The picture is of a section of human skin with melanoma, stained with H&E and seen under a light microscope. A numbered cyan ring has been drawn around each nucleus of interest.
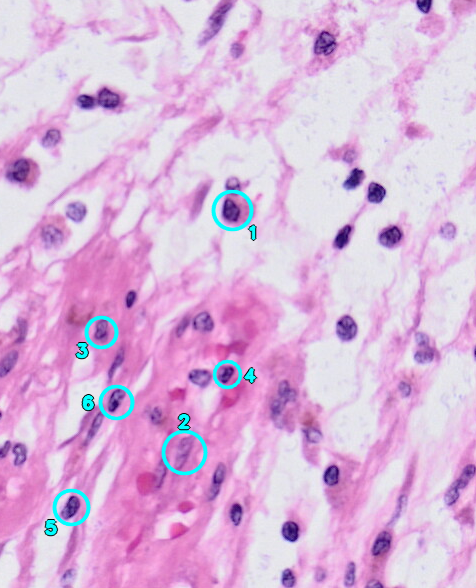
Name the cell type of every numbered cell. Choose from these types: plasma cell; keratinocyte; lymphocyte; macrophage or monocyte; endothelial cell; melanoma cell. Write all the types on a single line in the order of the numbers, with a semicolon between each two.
macrophage or monocyte; endothelial cell; macrophage or monocyte; lymphocyte; lymphocyte; lymphocyte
